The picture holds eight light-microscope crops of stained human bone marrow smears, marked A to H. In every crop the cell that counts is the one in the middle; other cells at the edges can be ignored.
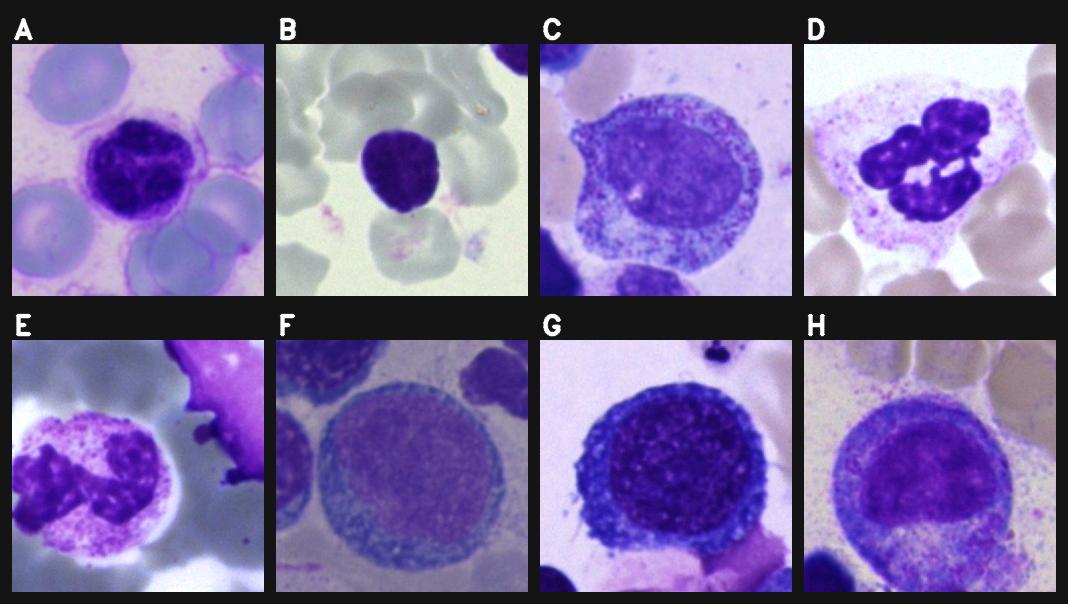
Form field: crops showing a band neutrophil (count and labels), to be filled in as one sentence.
Since band neutrophils are missing from all the crops, the count is zero.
